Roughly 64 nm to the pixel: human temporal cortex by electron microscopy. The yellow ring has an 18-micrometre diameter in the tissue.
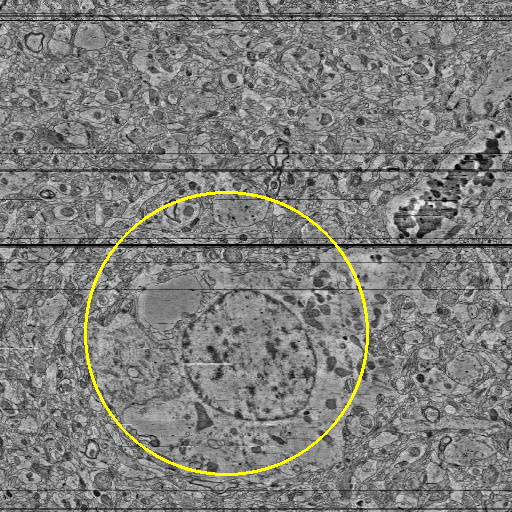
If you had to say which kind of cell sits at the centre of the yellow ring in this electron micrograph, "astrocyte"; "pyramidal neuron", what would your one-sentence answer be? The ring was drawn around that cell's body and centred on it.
The cell sitting at the centre of the ring is an astrocyte.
